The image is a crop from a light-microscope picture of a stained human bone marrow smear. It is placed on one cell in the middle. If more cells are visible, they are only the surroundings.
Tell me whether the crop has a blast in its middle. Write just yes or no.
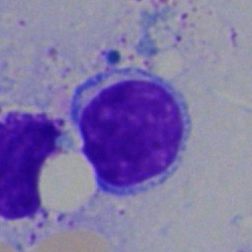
no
